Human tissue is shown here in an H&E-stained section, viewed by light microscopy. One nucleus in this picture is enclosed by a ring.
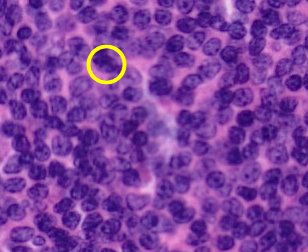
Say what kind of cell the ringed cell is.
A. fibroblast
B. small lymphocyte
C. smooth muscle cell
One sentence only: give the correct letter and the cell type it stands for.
It is as option B has it, the ringed cell being a small lymphocyte.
